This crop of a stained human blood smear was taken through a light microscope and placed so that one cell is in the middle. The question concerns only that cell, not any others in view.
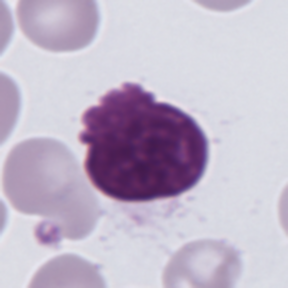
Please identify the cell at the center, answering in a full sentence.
Present in the middle of the crop is a smudge cell.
